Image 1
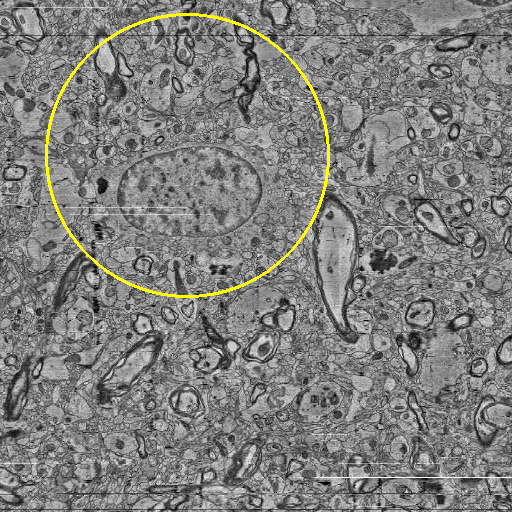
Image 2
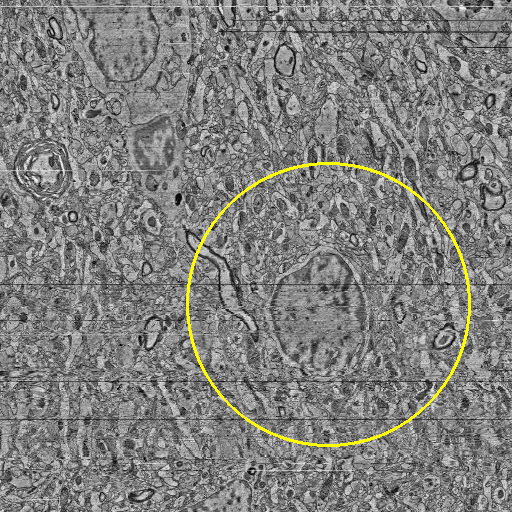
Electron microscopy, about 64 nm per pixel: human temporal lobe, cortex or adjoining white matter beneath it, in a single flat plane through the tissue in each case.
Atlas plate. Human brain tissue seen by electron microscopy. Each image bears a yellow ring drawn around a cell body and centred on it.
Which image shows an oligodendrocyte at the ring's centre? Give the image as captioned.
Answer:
Image 1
